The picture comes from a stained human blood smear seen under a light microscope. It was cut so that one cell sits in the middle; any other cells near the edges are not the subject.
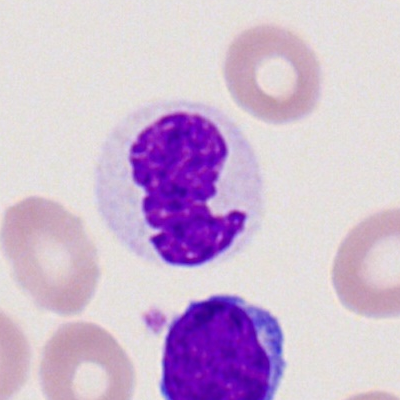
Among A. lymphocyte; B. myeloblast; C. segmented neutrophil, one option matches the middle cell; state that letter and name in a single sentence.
Of the options given, C is correct, the central cell being a segmented neutrophil.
